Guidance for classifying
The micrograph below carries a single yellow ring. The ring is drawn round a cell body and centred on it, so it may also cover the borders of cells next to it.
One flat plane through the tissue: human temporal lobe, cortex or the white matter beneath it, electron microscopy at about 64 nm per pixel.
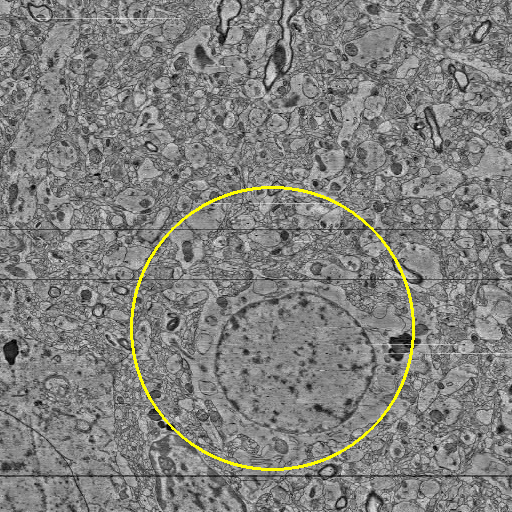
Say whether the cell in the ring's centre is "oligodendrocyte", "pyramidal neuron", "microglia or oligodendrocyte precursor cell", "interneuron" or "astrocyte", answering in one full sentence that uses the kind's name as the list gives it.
Within the yellow ring, an astrocyte is the cell whose body sits at the centre.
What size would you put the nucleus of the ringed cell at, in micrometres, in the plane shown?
In this plane the ringed cell's nucleus is roughly 10 micrometres across.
